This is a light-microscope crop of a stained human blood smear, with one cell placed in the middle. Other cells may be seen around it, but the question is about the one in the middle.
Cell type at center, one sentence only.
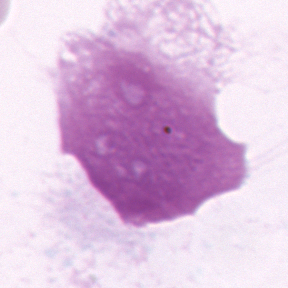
In the middle of this smear crop is a smudge cell.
